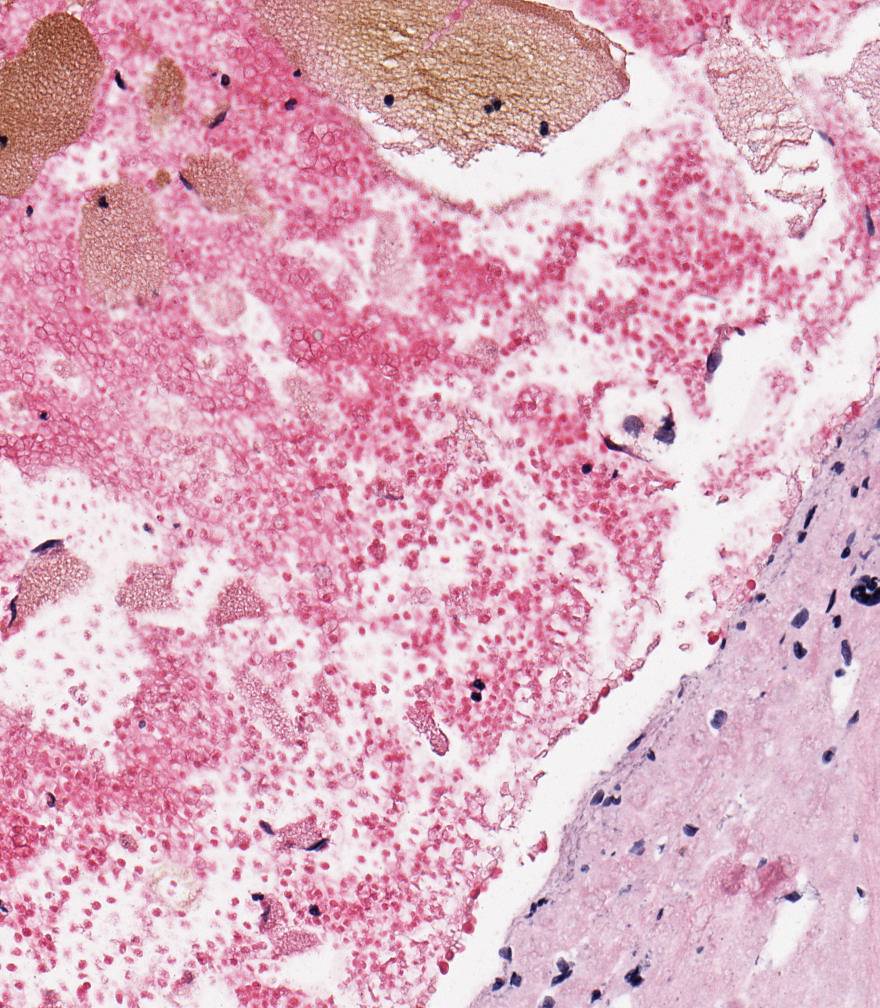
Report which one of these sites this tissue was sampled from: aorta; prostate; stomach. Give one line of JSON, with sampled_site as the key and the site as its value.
{"sampled_site": "stomach"}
